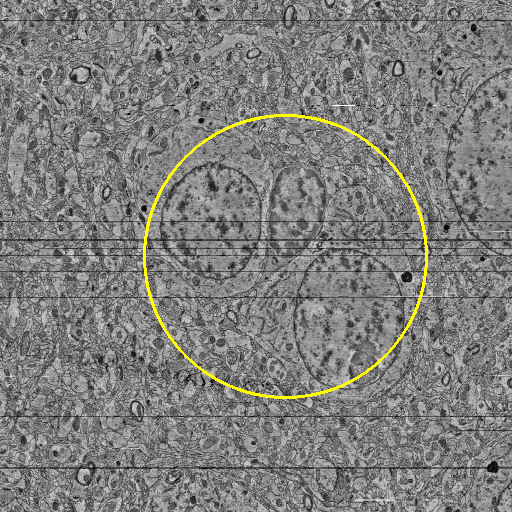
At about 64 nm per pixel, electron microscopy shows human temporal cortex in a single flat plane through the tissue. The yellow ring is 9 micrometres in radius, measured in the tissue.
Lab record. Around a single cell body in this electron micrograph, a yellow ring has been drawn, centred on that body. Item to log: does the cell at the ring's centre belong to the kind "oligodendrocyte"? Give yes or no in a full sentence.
Yes, in the micrograph, the ringed cell at the centre belongs to that kind.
